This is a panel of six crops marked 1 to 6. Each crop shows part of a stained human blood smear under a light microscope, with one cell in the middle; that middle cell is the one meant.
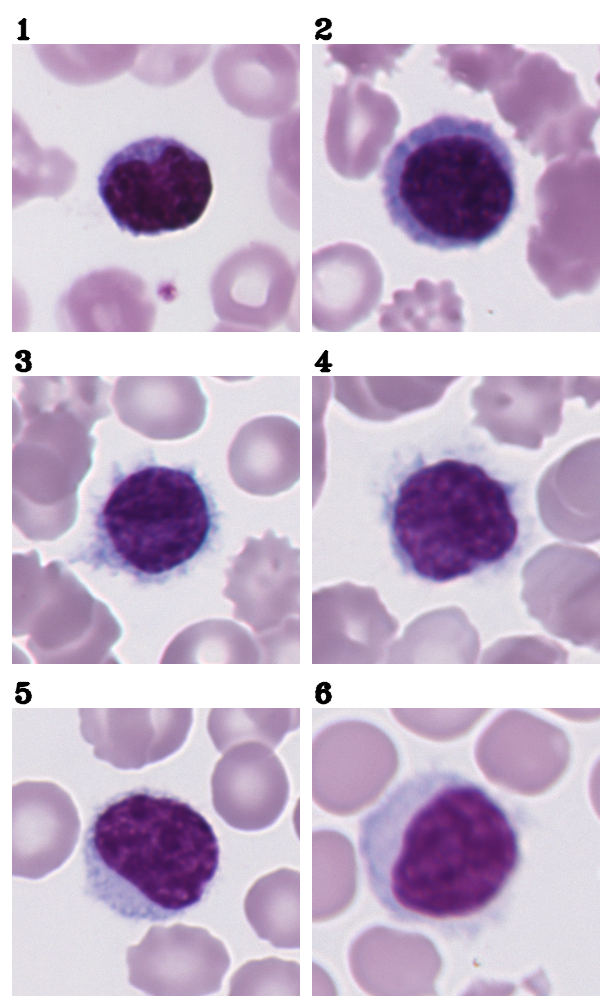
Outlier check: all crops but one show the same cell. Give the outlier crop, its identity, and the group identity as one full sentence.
Crop 1 differs from the others in showing a typical lymphocyte; the rest all show hairy cells.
